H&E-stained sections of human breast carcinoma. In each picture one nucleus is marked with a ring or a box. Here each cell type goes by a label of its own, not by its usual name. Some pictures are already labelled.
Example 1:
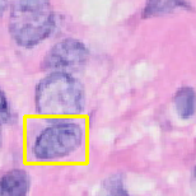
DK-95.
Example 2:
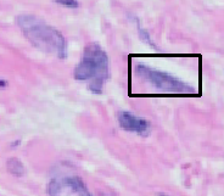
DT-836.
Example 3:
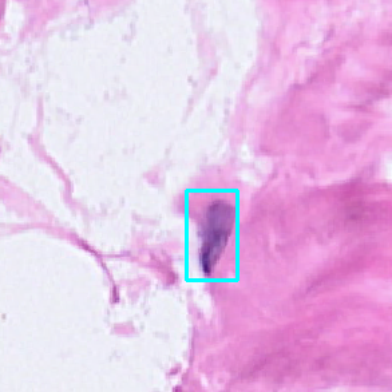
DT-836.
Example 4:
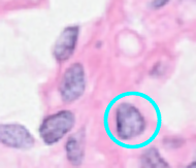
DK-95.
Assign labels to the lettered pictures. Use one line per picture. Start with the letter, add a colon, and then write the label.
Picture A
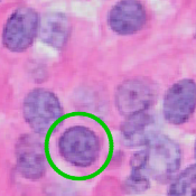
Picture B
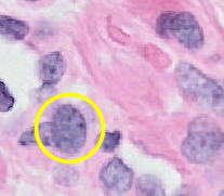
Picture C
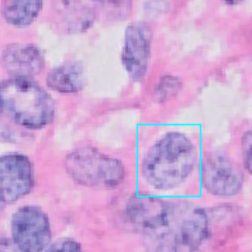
A: DK-95.
B: DK-95.
C: DK-95.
